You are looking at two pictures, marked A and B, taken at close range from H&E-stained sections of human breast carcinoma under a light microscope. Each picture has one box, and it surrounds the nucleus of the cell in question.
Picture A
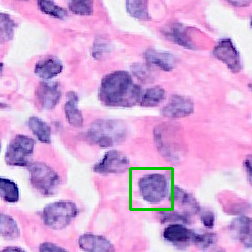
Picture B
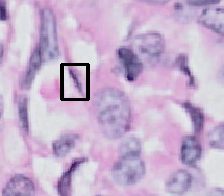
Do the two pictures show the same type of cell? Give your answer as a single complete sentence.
No. Picture A shows a carcinoma cell, but picture B shows an endothelial cell.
